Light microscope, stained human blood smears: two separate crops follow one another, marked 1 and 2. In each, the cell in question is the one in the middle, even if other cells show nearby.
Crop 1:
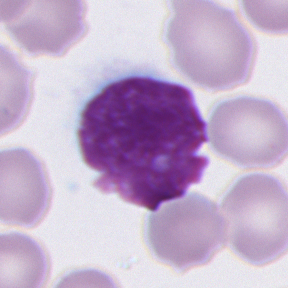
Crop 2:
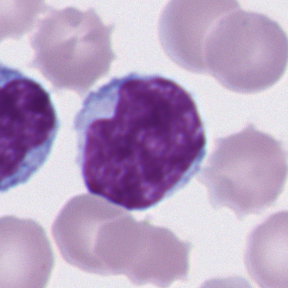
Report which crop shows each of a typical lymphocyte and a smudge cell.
1: smudge cell
2: typical lymphocyte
